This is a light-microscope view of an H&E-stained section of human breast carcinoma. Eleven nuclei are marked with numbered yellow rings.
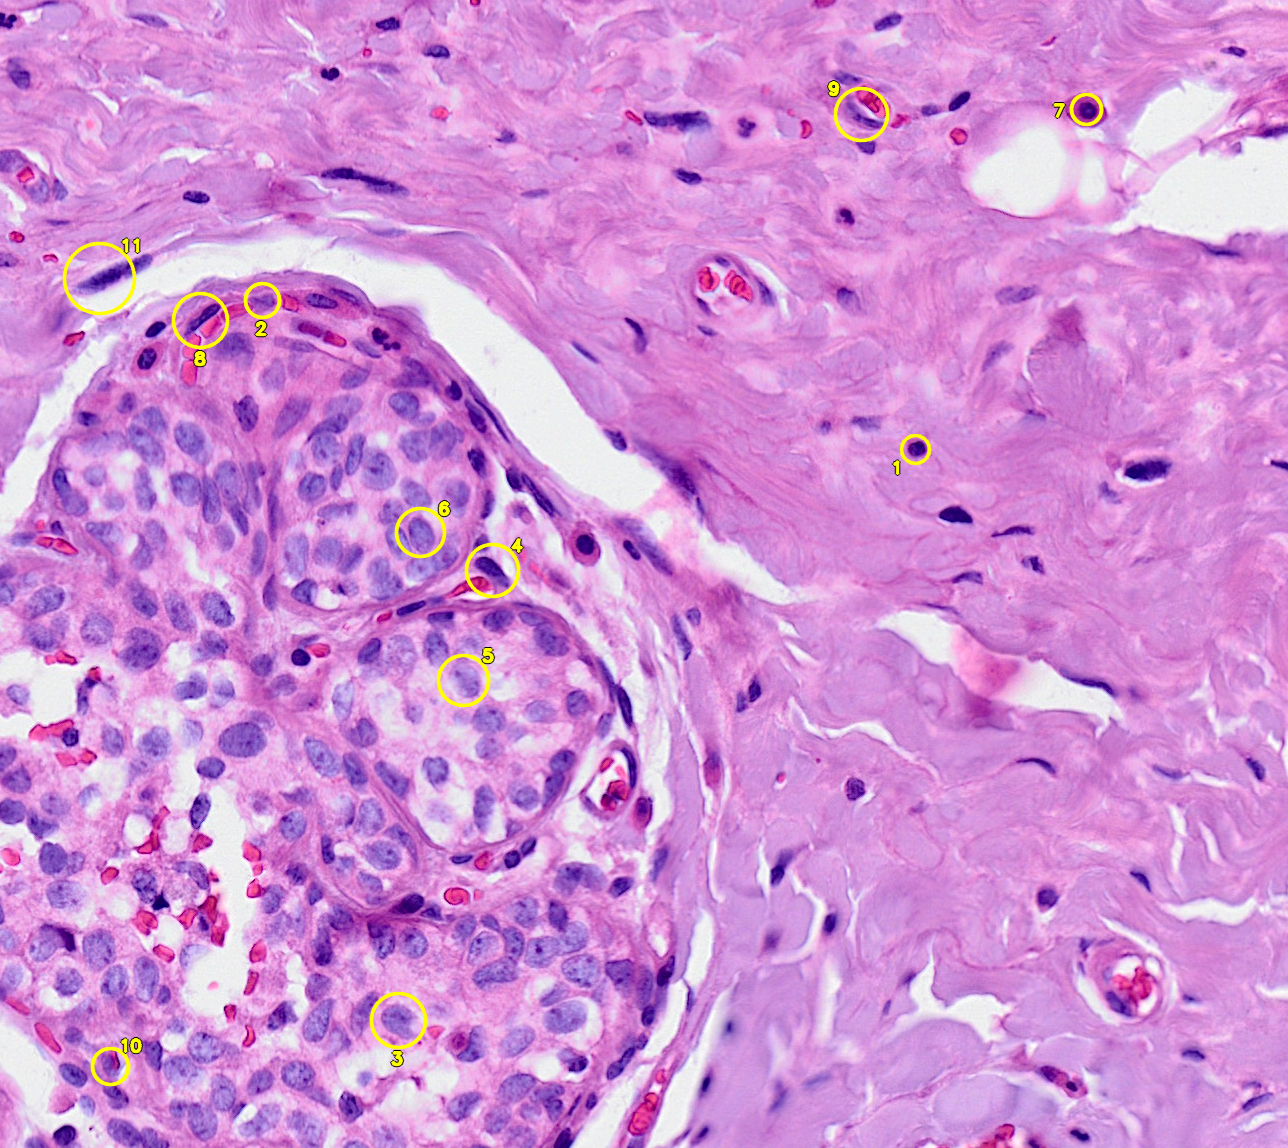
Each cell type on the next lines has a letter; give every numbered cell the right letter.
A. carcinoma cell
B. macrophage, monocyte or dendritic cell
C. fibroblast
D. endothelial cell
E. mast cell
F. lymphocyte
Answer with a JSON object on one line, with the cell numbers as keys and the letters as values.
{"1": "E", "2": "D", "3": "A", "4": "D", "5": "A", "6": "A", "7": "E", "8": "D", "9": "D", "10": "D", "11": "C"}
